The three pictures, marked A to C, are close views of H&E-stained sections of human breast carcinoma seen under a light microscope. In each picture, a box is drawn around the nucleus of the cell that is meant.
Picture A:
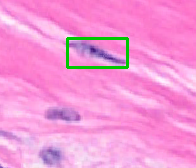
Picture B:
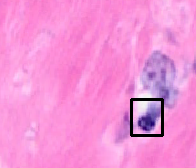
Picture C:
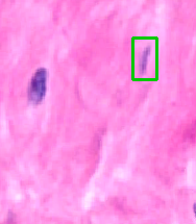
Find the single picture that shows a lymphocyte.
B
